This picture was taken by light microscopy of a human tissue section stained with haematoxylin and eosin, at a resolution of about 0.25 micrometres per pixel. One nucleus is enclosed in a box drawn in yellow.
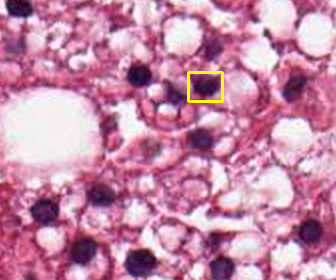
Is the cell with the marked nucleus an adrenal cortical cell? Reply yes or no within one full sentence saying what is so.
Yes, the marked nucleus is part of an adrenal cortical cell.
